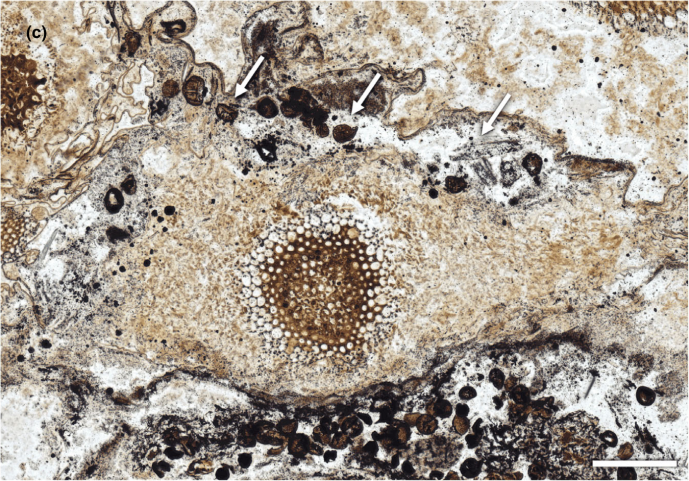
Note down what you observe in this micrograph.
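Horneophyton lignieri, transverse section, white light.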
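In the middle of this section lies a round, compact strand of small cells with brown walls, ringed by a band of small, pale, thin-walled cells. These cells keep their outlines well, while the broad tissue around them is a pale, granular mass with no clear cell boundaries. Along the margin, dark brown, rounded, thick-walled bodies crowd against the section and lie scattered in the surrounding matrix. This is a stem in cross section, with its central conducting tissue preserved cell by cell.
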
